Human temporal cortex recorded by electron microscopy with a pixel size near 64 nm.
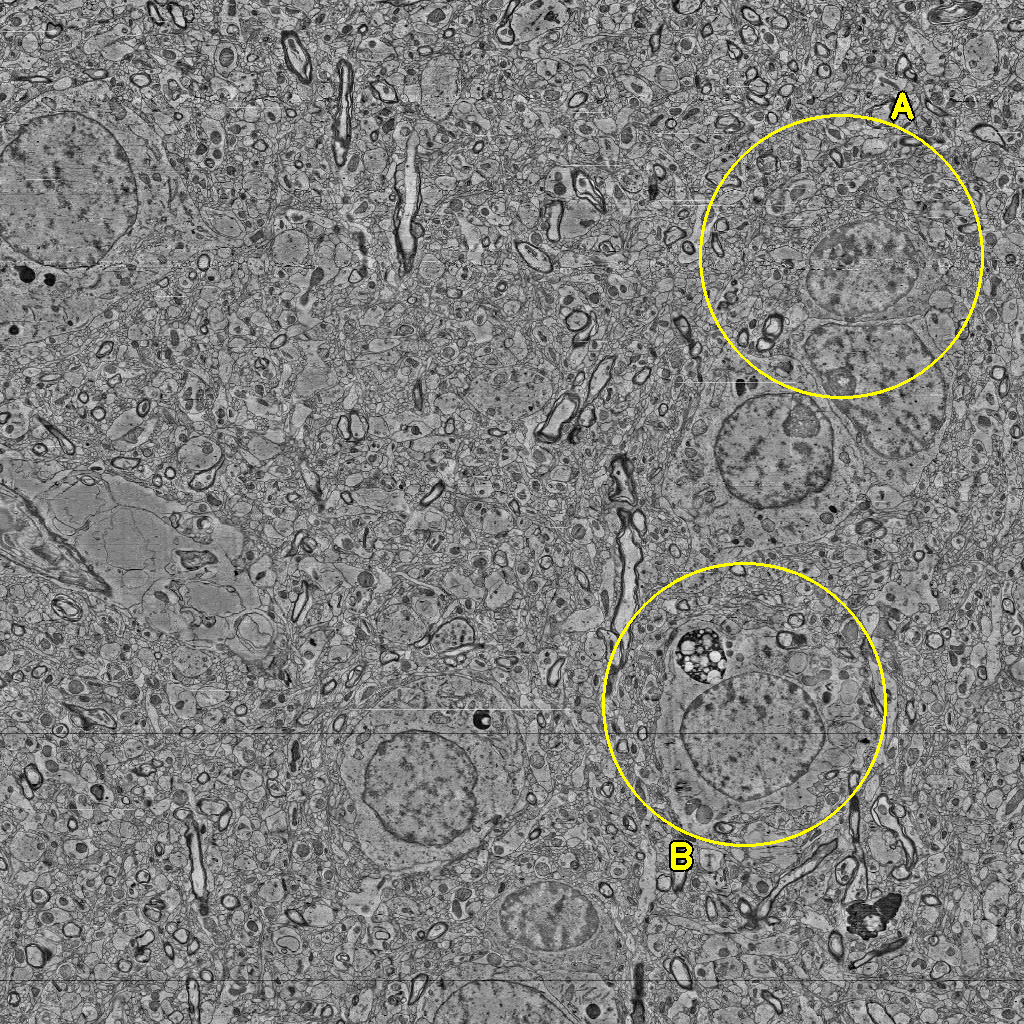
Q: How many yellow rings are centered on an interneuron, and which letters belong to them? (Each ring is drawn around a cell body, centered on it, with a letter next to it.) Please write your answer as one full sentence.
None of the rings picks out an interneuron as its centre, so the count is zero.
